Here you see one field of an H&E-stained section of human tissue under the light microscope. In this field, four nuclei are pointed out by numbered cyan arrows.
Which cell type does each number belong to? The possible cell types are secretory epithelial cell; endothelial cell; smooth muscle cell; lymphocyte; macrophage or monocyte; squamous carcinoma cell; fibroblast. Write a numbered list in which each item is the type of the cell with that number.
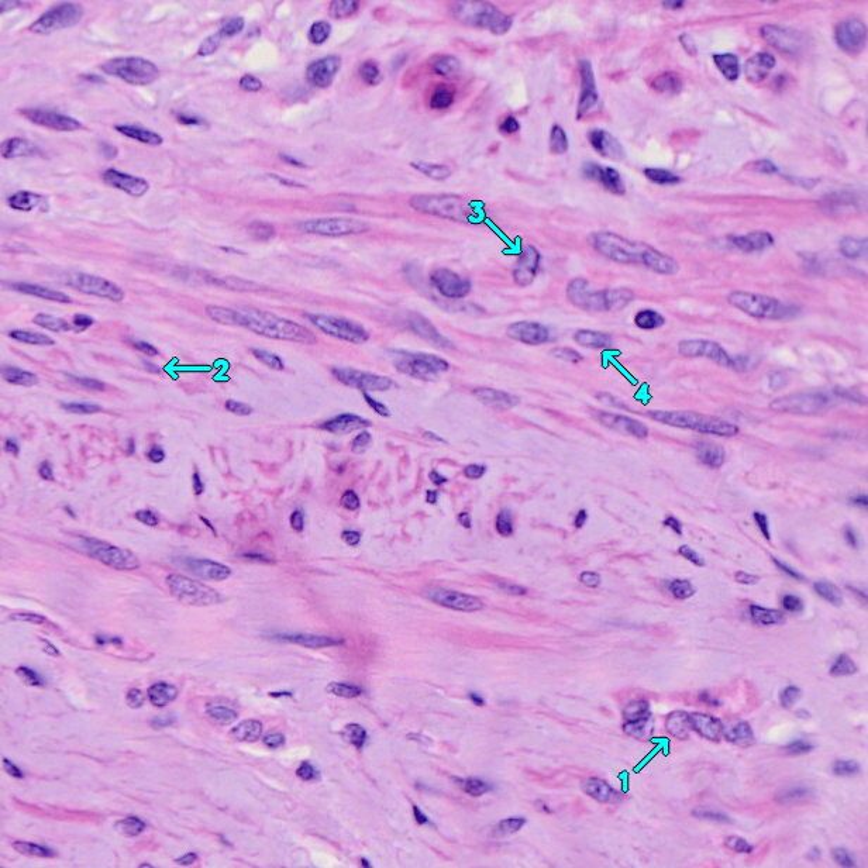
1. endothelial cell
2. smooth muscle cell
3. smooth muscle cell
4. smooth muscle cell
